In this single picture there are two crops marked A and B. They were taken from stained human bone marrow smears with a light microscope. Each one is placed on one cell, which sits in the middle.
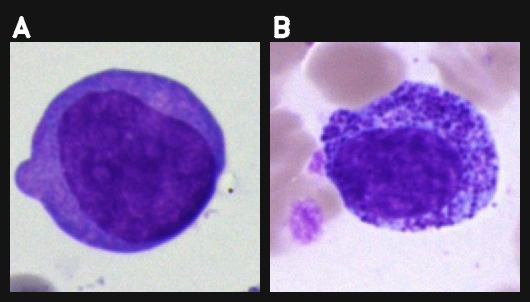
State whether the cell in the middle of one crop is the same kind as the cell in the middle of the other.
no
